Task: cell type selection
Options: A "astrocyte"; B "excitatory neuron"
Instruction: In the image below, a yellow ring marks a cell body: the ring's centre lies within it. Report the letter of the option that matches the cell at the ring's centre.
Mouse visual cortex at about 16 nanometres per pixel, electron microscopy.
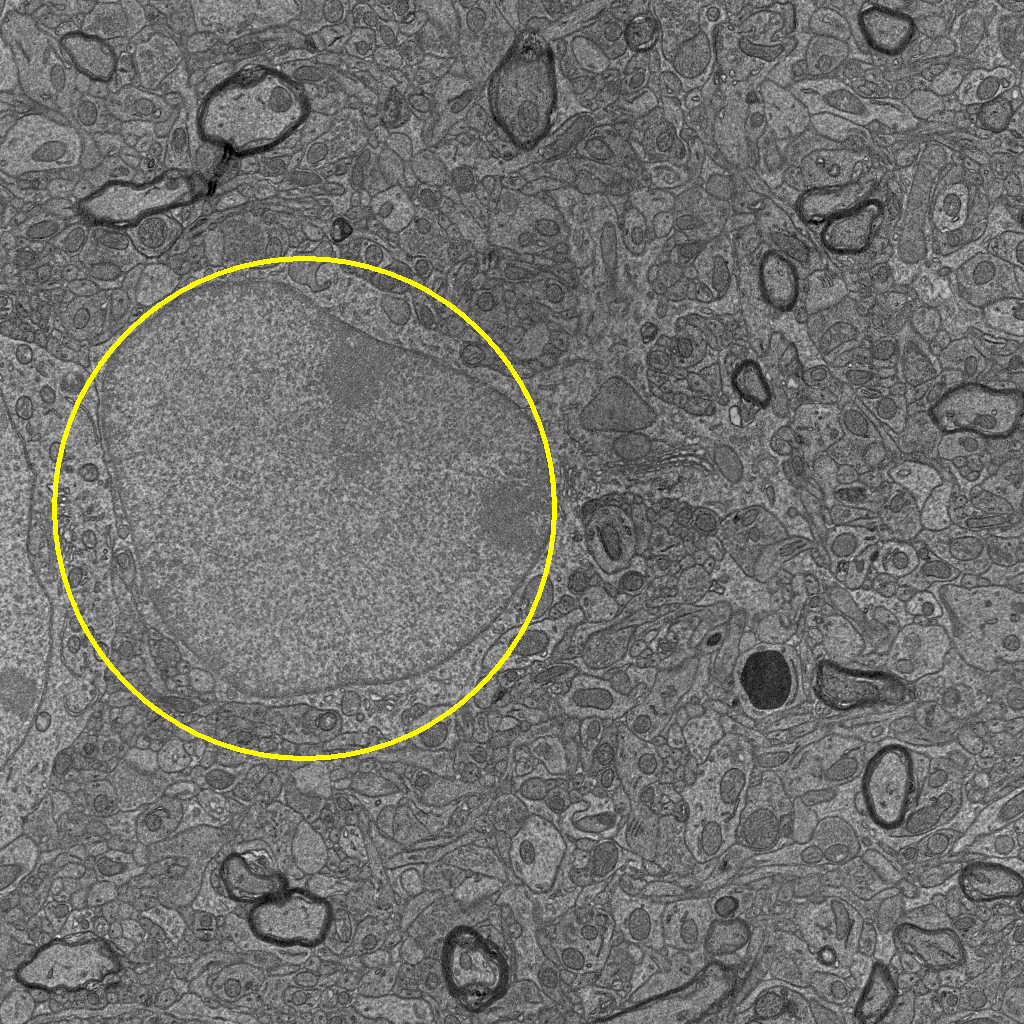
A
